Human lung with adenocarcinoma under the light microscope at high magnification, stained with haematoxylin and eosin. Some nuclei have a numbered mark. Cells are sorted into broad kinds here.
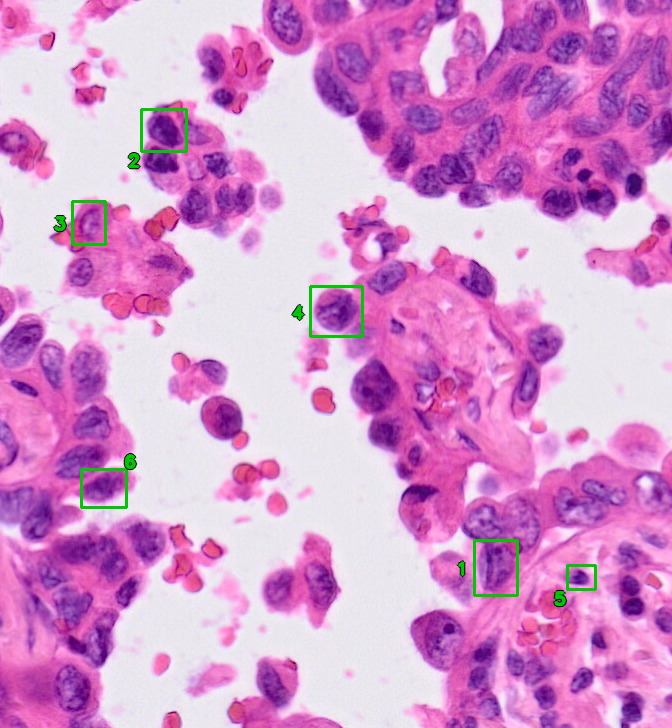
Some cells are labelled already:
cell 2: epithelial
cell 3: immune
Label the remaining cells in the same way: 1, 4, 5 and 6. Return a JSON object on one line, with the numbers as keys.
{"1": "epithelial", "4": "epithelial", "5": "immune", "6": "epithelial"}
